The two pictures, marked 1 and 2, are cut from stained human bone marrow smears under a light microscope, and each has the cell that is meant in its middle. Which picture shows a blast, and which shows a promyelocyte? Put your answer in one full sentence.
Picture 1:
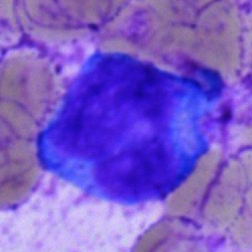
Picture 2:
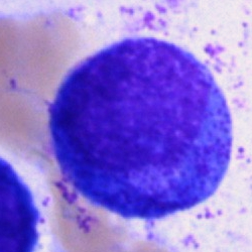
Picture 2 shows a promyelocyte, while picture 1 shows a blast.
